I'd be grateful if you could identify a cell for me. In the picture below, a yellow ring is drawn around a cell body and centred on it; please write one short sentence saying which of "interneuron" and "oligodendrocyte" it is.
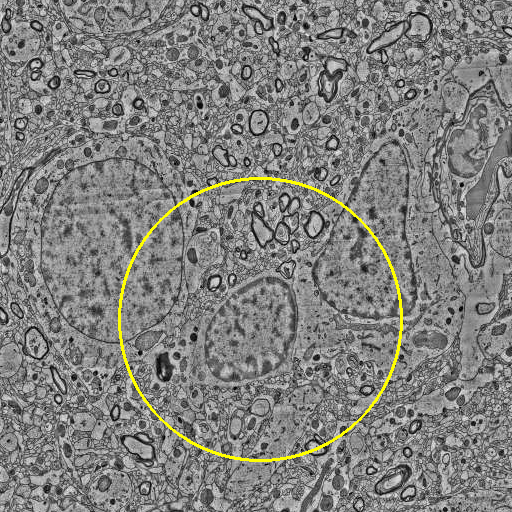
The cell under the ring's centre is an oligodendrocyte.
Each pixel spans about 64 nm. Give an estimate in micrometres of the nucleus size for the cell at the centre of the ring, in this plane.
Roughly 7 by 5 micrometres in this plane, for the nucleus of the ringed cell.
